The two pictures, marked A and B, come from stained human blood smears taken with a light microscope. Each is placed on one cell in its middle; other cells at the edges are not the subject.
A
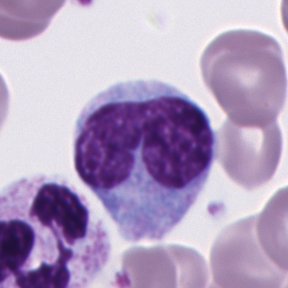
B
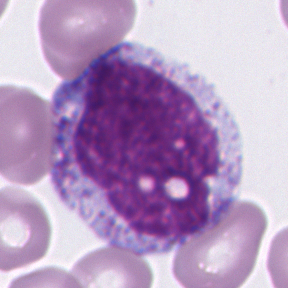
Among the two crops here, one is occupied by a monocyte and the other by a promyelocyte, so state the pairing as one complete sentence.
Crop A here is a monocyte, and crop B is a promyelocyte.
